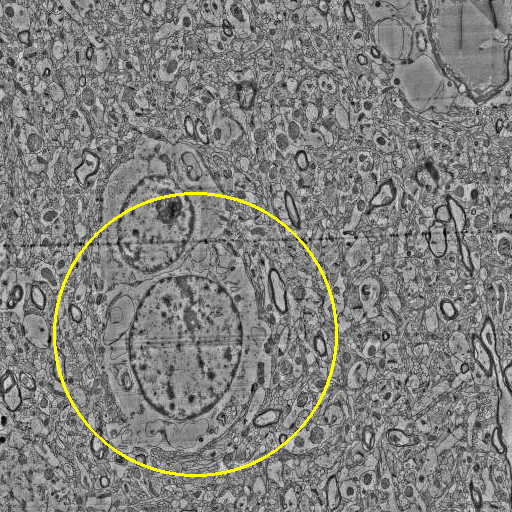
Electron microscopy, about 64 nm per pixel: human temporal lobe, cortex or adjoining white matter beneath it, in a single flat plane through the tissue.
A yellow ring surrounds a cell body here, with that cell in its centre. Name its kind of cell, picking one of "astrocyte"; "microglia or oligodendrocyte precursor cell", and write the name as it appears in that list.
astrocyte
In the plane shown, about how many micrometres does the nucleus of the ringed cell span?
About 9 by 7 micrometers for the nucleus, in this plane.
